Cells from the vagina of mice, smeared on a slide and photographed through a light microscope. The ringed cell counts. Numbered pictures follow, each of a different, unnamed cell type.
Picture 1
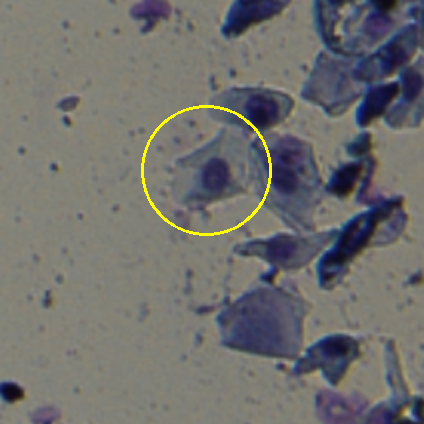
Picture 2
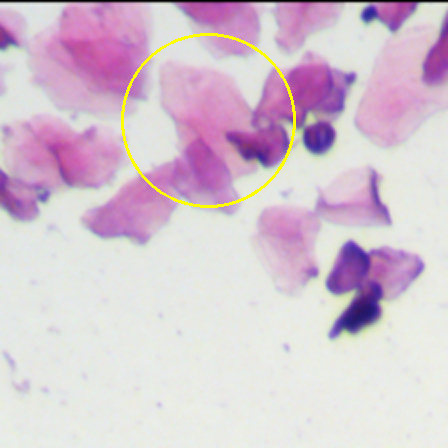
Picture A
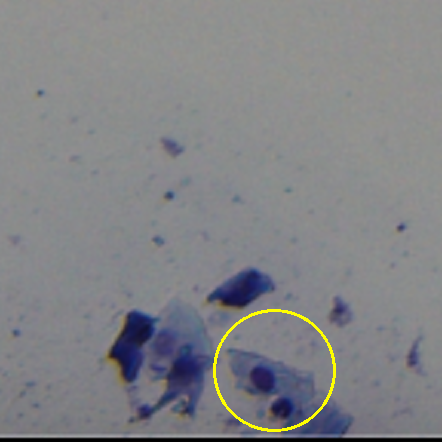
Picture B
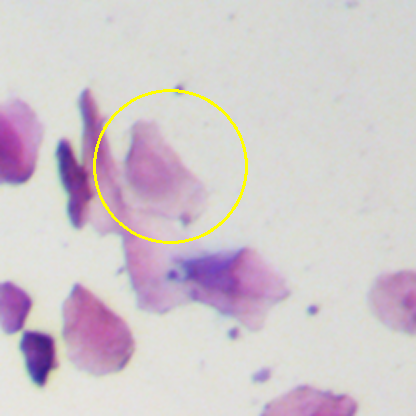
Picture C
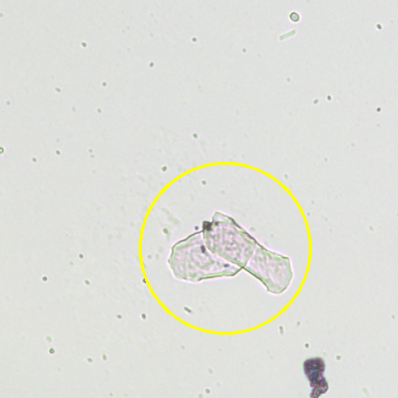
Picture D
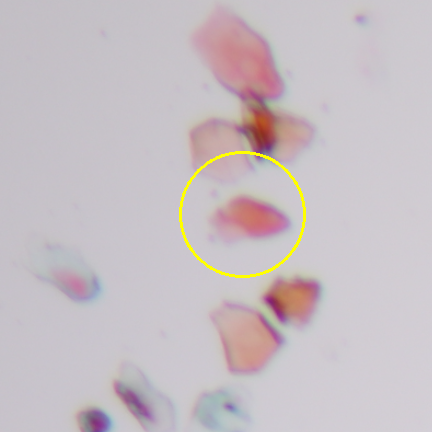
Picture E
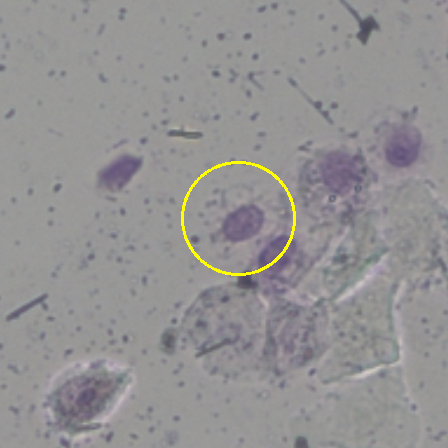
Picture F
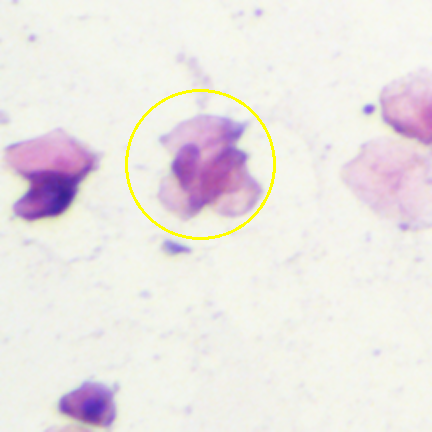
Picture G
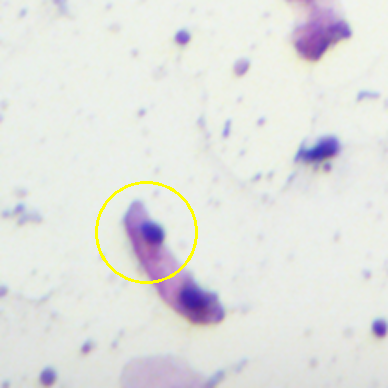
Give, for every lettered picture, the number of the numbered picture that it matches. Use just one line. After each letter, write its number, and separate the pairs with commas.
A 1, B 2, C 2, D 2, E 1, F 2, G 1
